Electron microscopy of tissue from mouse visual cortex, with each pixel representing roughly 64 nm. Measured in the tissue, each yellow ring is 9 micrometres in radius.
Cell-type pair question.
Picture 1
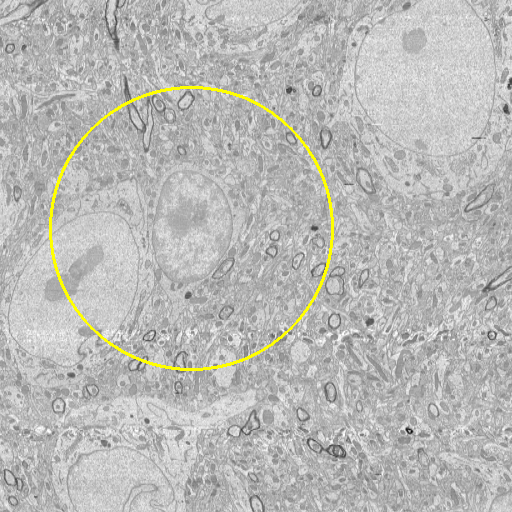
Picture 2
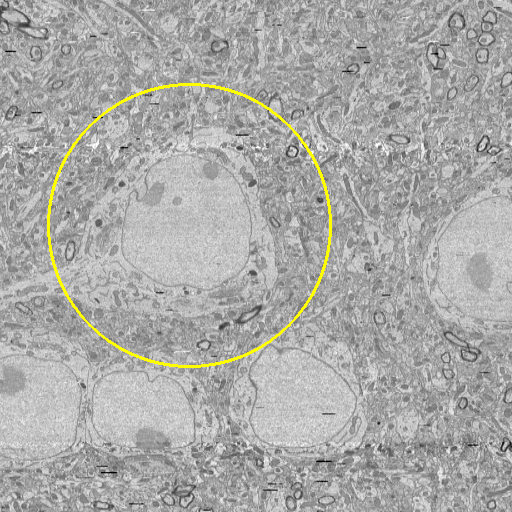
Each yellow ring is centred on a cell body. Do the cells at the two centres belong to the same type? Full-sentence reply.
No, the two cells belong to two types.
